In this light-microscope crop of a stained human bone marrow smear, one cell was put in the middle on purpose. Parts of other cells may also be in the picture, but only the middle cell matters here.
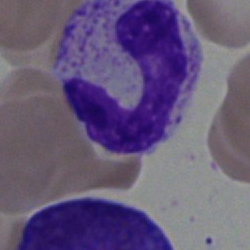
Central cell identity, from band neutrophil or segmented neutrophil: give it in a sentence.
Of the cells in this crop, the central one is a band neutrophil.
